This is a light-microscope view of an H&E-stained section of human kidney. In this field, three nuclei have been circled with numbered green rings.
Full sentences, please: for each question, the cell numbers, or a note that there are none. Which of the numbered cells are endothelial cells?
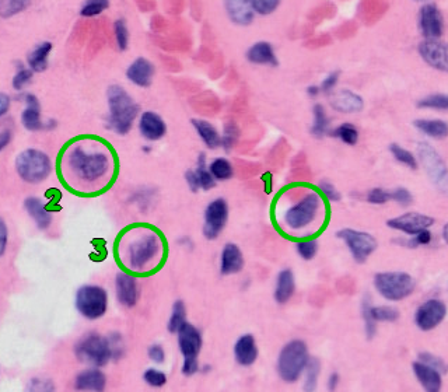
Among the numbered cells, the one that is an endothelial cell is cell 1 alone.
